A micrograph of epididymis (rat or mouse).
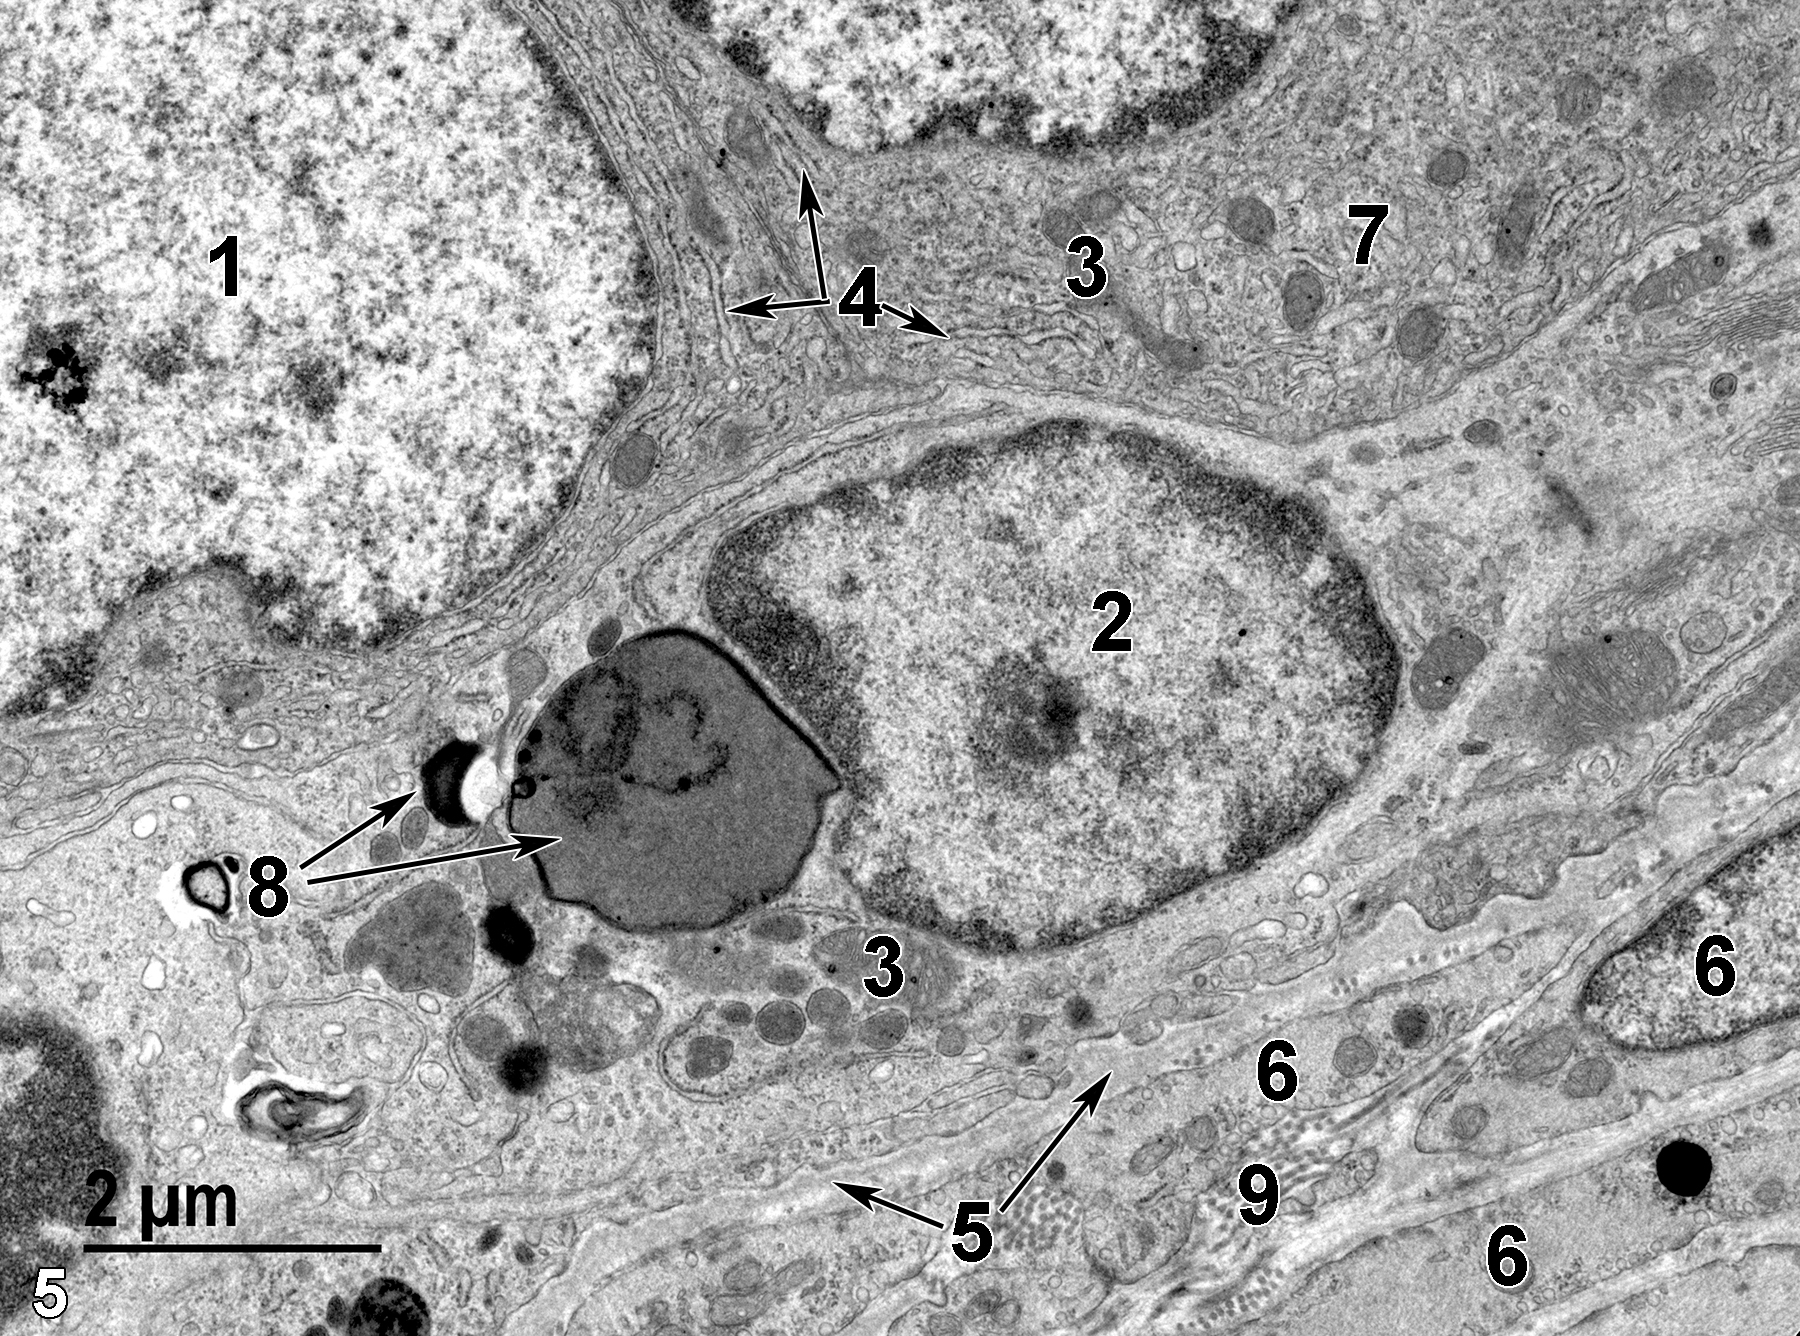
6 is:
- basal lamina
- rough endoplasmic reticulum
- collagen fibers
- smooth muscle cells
smooth muscle cells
